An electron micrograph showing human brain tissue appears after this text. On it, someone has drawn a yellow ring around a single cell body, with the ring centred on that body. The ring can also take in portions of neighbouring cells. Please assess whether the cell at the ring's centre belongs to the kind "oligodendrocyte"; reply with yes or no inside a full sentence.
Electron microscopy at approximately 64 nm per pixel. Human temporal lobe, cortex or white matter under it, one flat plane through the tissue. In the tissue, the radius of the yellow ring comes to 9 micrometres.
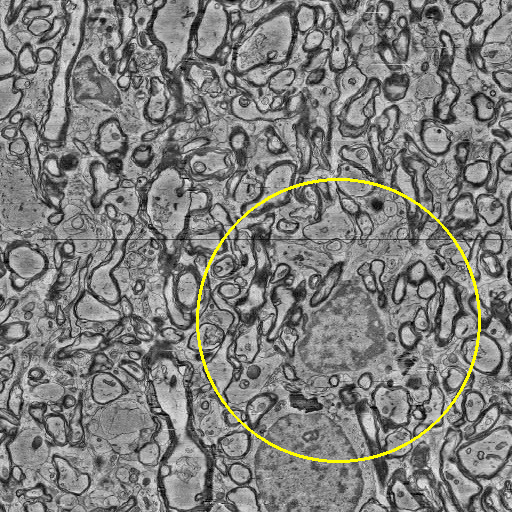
Yes, in this micrograph the cell at the centre of the ring is of that kind.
